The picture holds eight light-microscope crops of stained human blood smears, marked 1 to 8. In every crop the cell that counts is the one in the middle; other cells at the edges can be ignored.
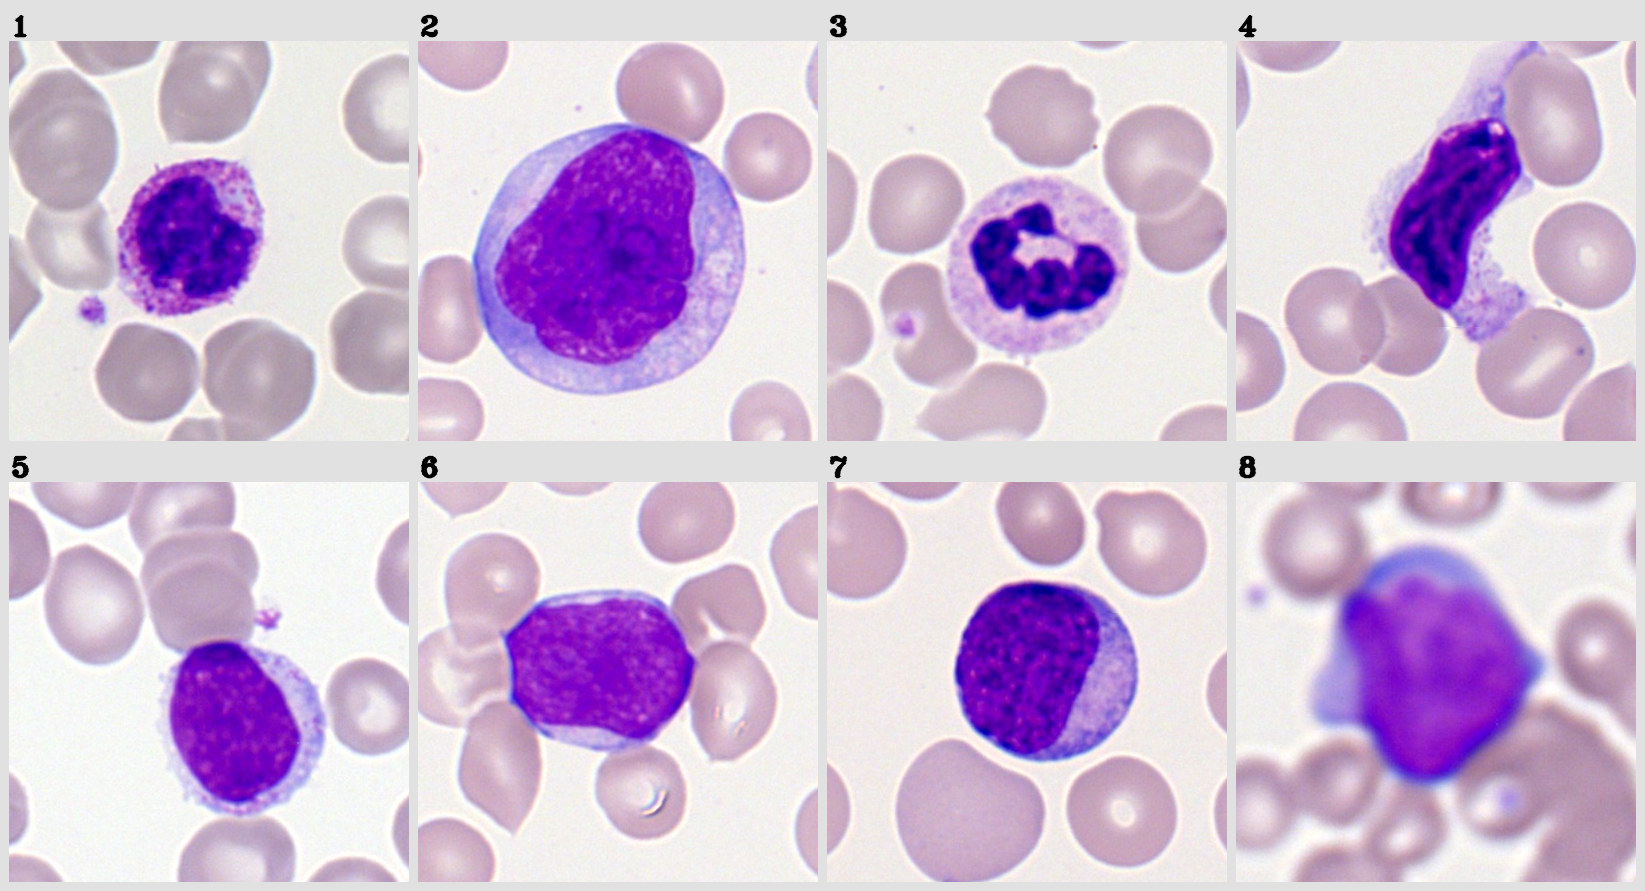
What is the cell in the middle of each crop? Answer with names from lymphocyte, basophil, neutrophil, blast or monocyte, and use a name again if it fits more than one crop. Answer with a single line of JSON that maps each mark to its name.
{"1": "basophil", "2": "blast", "3": "neutrophil", "4": "lymphocyte", "5": "lymphocyte", "6": "blast", "7": "blast", "8": "blast"}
